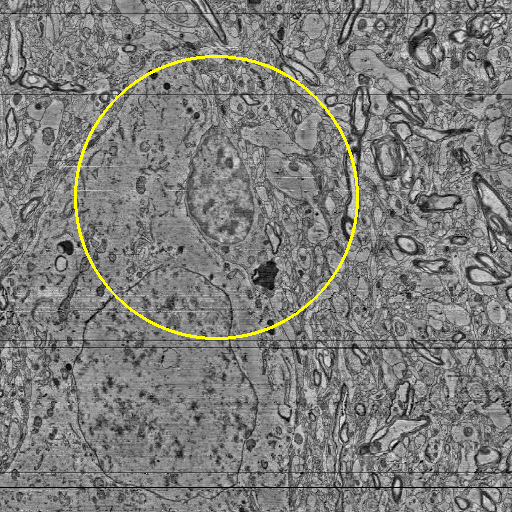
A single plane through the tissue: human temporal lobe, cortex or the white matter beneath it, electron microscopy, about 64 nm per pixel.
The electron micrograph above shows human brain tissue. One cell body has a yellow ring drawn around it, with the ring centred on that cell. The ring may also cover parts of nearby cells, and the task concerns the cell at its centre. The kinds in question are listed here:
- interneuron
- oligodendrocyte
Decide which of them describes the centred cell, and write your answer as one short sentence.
The centred cell is an oligodendrocyte.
